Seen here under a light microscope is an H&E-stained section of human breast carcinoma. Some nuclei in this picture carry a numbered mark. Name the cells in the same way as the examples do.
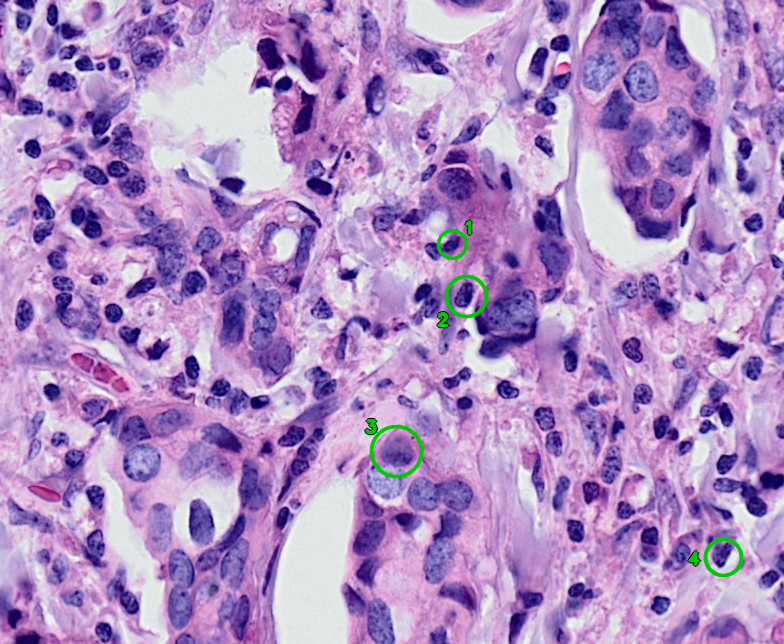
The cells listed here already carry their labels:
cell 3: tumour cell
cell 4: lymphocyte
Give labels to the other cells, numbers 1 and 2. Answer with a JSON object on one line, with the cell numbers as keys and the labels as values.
{"1": "lymphocyte", "2": "lymphocyte"}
